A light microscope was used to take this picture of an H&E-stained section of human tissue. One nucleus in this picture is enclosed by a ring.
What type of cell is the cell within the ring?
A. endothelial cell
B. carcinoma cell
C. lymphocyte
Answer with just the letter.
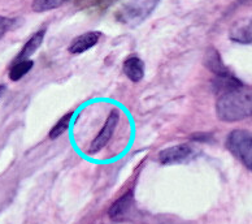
A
